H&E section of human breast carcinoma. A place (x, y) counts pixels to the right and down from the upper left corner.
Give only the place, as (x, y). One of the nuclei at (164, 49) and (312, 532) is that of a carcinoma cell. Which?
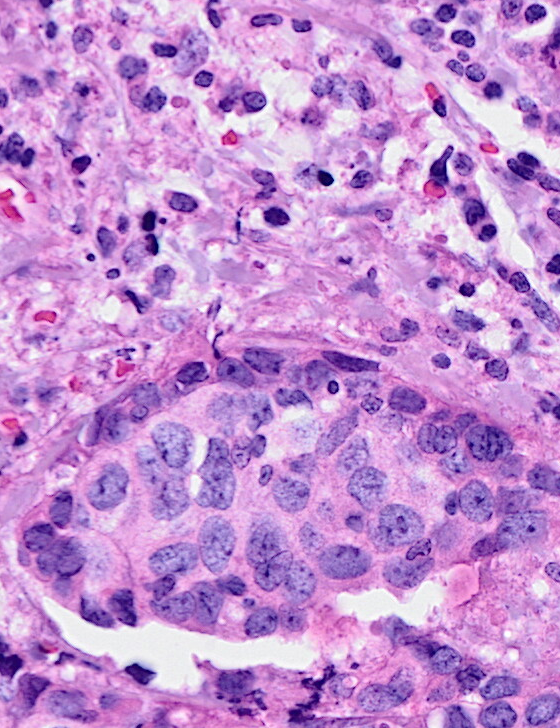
(312, 532)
